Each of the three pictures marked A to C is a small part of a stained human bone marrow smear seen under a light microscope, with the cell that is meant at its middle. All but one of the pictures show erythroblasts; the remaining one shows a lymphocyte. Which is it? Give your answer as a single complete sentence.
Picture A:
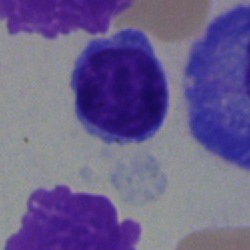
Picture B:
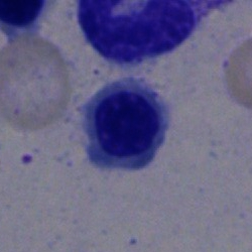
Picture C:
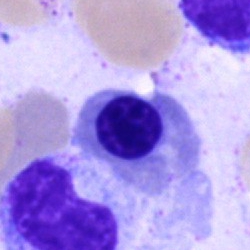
Picture A shows the lymphocyte.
